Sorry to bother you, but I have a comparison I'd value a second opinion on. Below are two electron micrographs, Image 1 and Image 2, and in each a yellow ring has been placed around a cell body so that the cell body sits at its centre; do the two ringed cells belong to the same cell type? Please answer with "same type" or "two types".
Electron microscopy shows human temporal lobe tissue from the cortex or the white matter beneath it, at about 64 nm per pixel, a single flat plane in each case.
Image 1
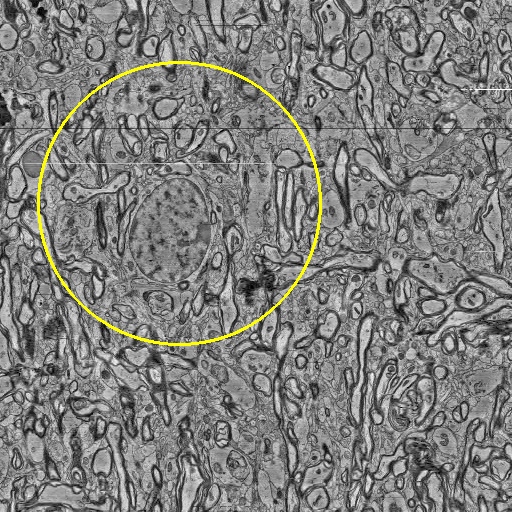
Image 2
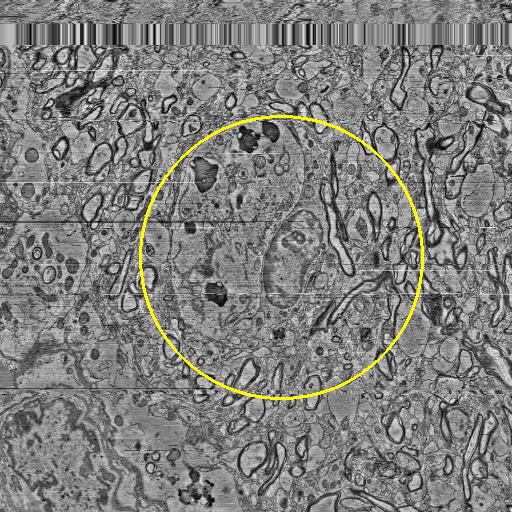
two types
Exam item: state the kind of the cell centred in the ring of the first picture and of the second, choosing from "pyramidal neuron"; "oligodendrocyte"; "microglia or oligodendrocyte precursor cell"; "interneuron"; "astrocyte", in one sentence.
The first picture shows a microglial cell or oligodendrocyte precursor cell at the ring centre and the second shows an oligodendrocyte.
